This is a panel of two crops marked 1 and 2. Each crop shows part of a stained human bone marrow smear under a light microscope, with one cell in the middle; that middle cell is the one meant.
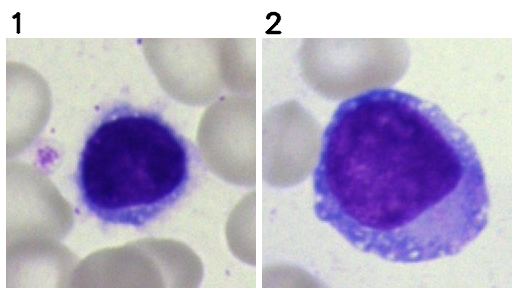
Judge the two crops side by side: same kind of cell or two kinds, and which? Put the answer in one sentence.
No, it is crop 1 that shows a hairy cell, and crop 2 shows a blast.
